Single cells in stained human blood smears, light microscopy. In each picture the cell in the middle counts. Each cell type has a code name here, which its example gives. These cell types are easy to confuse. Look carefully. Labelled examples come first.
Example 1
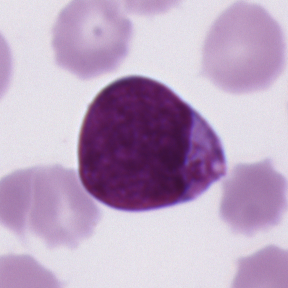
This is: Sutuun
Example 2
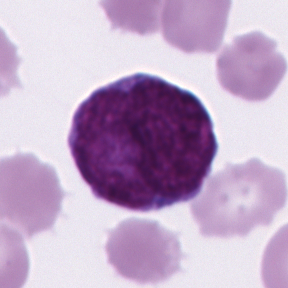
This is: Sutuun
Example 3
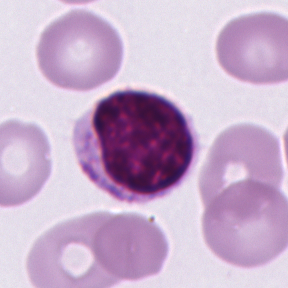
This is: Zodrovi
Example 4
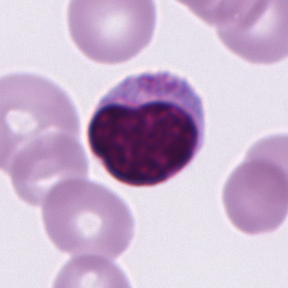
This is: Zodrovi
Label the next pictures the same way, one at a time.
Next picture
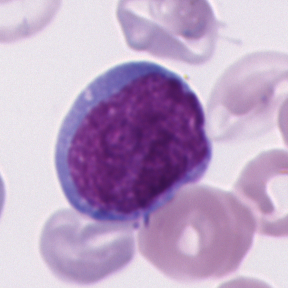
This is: Sutuun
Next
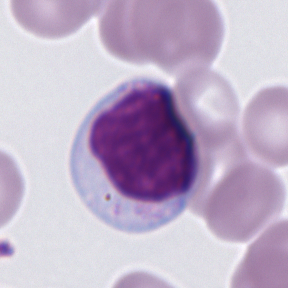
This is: Zodrovi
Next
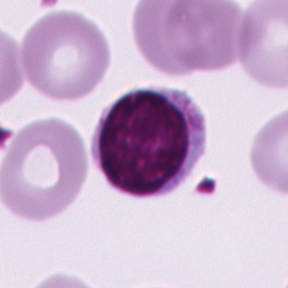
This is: Zodrovi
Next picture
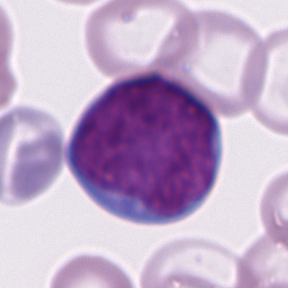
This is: Sutuun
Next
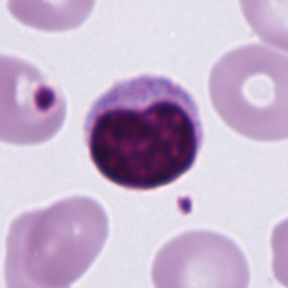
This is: Zodrovi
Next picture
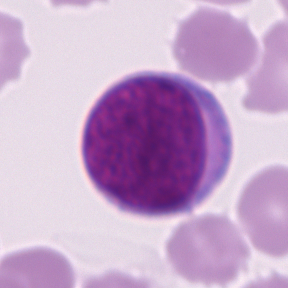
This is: Sutuun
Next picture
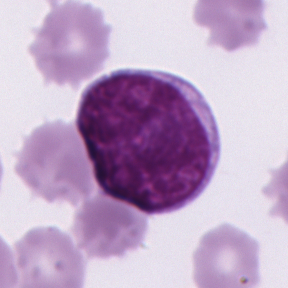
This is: Sutuun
